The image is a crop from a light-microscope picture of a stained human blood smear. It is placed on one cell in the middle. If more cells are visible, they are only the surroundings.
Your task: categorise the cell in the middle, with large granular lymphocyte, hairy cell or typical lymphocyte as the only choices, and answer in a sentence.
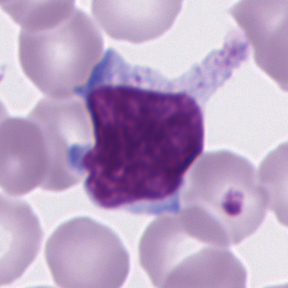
The centrally placed cell is classified as a large granular lymphocyte.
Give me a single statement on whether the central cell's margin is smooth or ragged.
It is the contour of the cell that is irregular, being ragged or projecting outward.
